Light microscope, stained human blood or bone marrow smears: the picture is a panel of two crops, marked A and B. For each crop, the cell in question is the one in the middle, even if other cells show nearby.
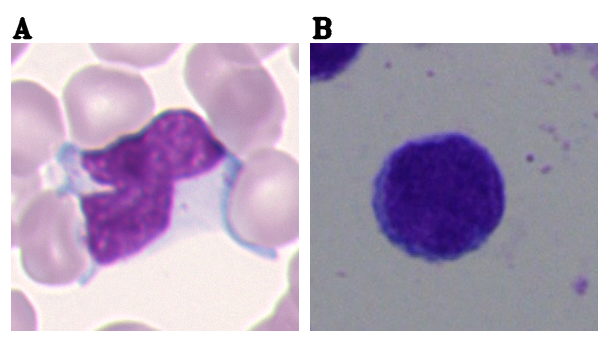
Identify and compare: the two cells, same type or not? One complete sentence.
Yes, the cells in both crops are lymphocytes.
